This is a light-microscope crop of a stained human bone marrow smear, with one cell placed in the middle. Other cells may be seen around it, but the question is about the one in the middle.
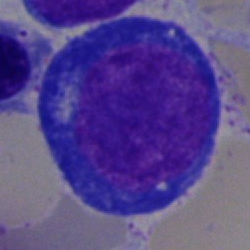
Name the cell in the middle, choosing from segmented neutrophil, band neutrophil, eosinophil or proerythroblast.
proerythroblast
